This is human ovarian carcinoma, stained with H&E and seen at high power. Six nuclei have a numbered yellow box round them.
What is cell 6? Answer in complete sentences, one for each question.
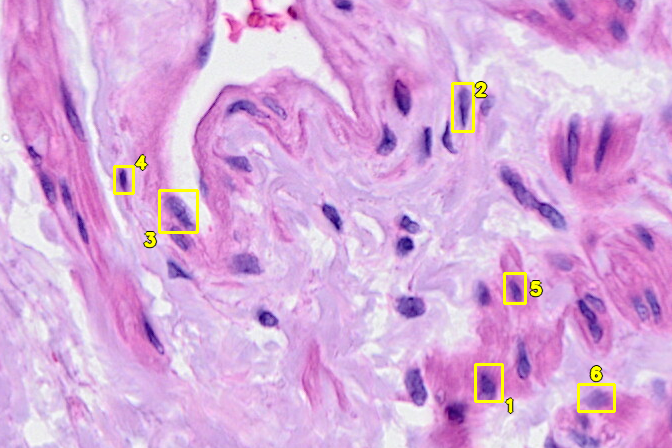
The numbered cell 6 is identified here as a smooth muscle cell.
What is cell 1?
The mark numbered 1 indicates the nucleus of a smooth muscle cell.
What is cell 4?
In this section, the cell numbered 4 is a smooth muscle cell.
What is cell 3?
The cell numbered 3 has been identified as an endothelial cell.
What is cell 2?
Belonging to a fibroblast is the nucleus that carries the number 2.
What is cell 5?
The correct answer for cell 5 is a smooth muscle cell.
